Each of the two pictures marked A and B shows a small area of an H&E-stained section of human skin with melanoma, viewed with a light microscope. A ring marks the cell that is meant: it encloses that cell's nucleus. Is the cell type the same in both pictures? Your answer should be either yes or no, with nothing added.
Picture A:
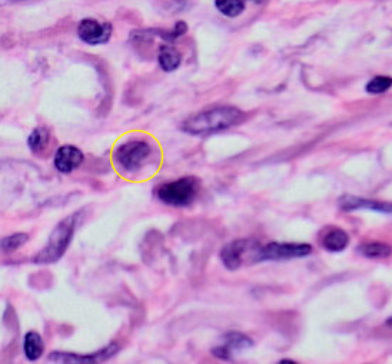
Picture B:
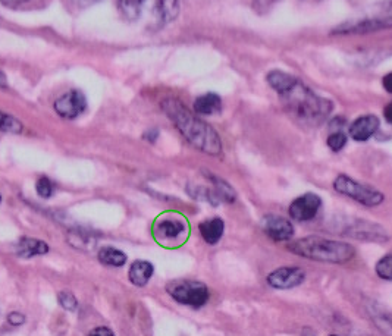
no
